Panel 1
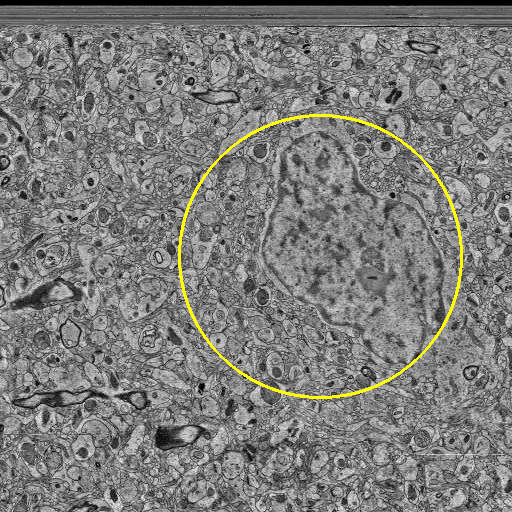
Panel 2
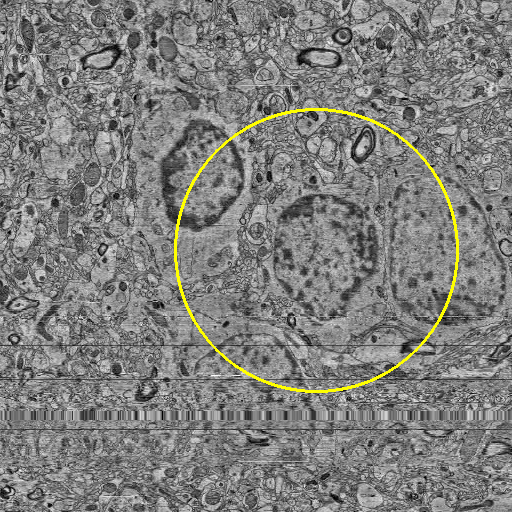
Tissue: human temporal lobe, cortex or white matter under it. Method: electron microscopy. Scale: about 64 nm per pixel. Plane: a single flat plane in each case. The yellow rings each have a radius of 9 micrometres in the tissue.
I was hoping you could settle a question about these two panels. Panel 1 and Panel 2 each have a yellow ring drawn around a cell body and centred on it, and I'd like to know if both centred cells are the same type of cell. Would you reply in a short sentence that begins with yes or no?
No, they are two types of cell.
